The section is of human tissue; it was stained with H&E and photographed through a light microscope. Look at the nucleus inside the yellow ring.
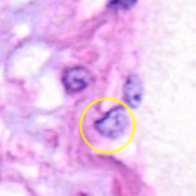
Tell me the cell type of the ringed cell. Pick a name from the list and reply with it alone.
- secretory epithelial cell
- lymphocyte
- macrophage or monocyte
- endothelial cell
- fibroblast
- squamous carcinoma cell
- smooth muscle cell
endothelial cell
